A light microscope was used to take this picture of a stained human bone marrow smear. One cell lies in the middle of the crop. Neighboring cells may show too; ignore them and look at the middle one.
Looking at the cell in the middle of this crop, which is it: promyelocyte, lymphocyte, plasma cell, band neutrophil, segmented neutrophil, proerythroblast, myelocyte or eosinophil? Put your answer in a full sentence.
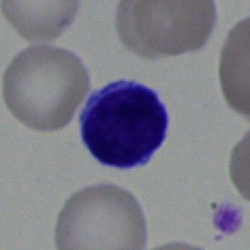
The cell positioned in the middle of the field is a lymphocyte.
